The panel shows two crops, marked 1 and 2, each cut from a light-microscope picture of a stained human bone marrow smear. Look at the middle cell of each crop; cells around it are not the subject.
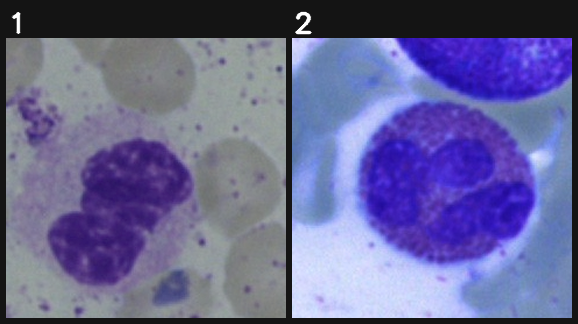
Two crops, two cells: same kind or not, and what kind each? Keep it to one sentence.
No, the central cell of crop 1 is a segmented neutrophil; that of crop 2 is an eosinophil.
